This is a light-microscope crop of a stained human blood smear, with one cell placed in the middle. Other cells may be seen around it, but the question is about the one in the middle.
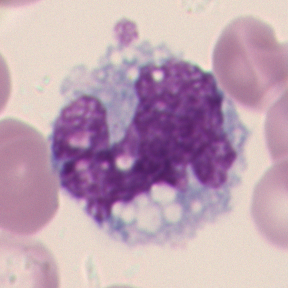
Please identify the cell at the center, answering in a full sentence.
Standing at the centre of this crop is a monocyte.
